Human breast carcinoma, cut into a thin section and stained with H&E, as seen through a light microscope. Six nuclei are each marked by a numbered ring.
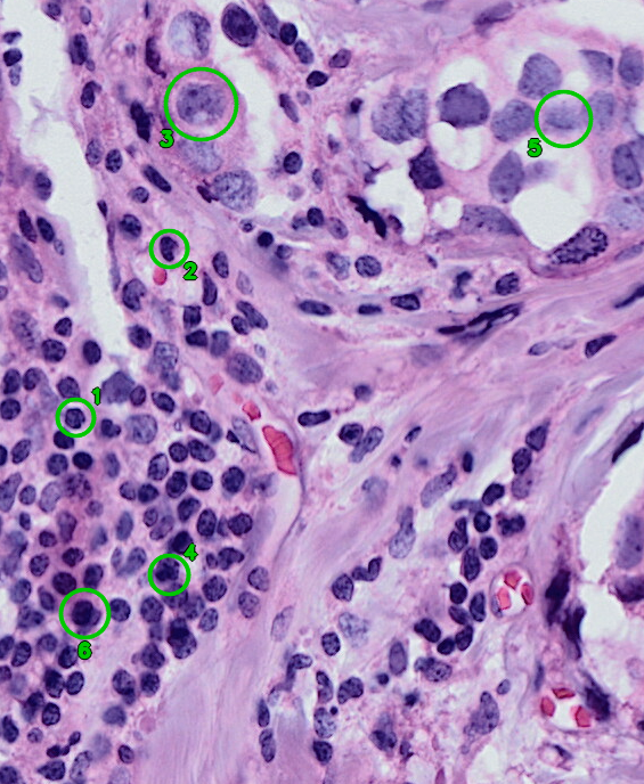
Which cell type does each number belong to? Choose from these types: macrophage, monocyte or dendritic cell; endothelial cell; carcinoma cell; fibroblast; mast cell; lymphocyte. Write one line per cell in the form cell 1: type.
cell 1: lymphocyte
cell 2: lymphocyte
cell 3: carcinoma cell
cell 4: lymphocyte
cell 5: carcinoma cell
cell 6: lymphocyte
